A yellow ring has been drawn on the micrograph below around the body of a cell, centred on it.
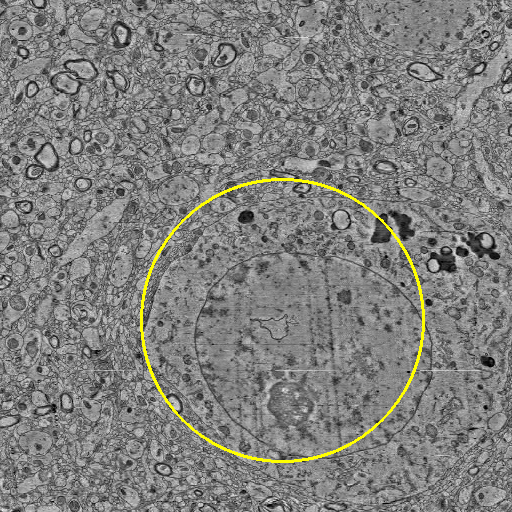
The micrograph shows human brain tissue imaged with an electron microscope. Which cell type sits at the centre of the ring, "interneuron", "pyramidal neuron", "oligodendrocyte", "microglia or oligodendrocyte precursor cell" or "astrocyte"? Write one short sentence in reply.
The cell sitting at the centre of the ring is a pyramidal neuron.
